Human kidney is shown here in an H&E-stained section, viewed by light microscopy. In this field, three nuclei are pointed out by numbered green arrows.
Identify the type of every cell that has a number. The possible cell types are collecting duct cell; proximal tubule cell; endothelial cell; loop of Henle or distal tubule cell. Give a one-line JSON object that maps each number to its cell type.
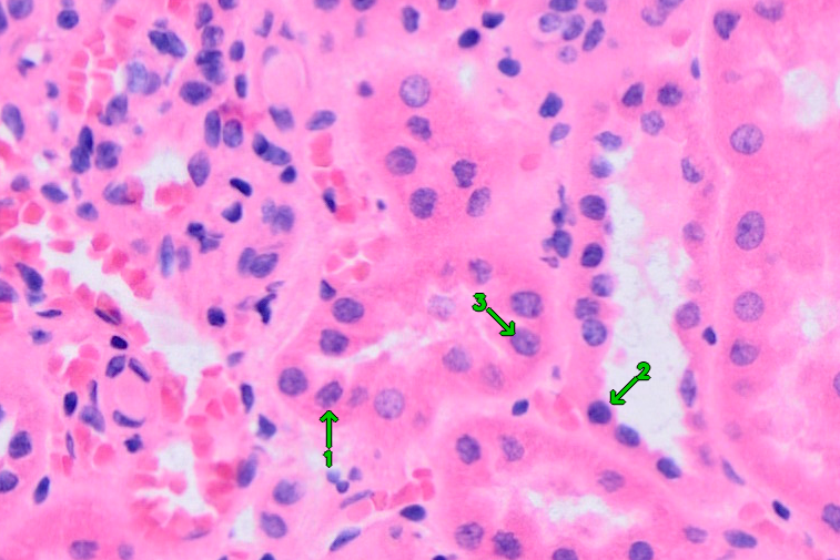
{"1": "proximal tubule cell", "2": "loop of Henle or distal tubule cell", "3": "proximal tubule cell"}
